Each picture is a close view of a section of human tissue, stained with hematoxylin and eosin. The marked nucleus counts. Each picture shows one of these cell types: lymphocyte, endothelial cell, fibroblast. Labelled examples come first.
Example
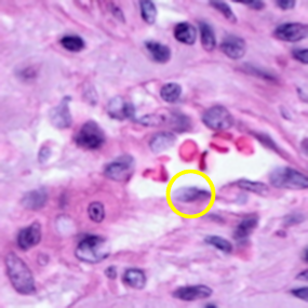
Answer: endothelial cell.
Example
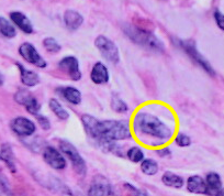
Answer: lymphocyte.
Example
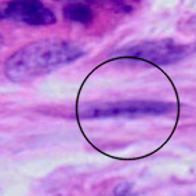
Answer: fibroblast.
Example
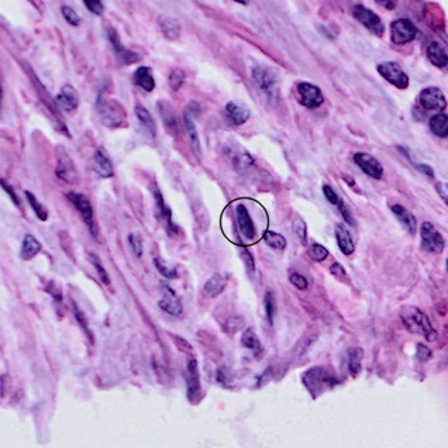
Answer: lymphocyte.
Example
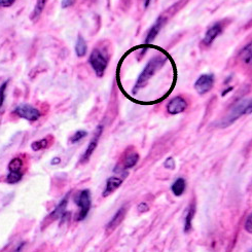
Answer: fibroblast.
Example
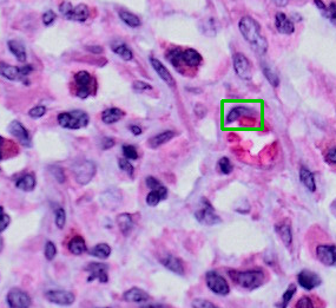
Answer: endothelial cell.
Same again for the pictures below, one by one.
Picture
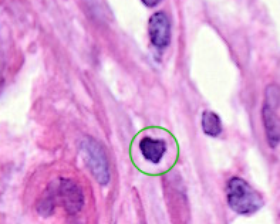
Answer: lymphocyte.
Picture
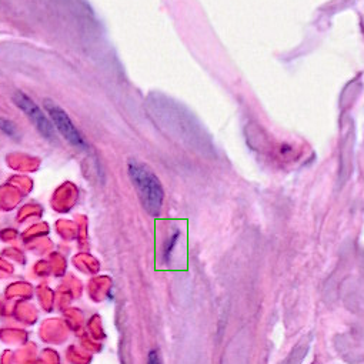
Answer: fibroblast.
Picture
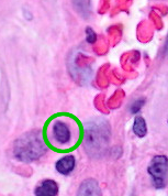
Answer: lymphocyte.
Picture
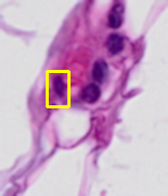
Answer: endothelial cell.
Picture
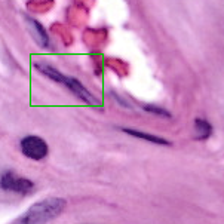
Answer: endothelial cell.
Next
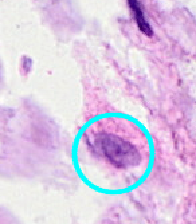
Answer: fibroblast.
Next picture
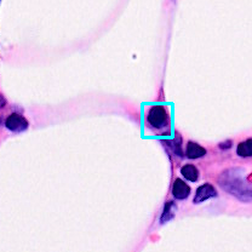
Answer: lymphocyte.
